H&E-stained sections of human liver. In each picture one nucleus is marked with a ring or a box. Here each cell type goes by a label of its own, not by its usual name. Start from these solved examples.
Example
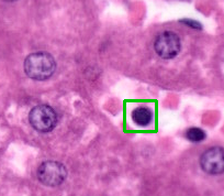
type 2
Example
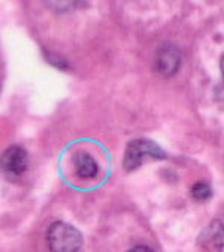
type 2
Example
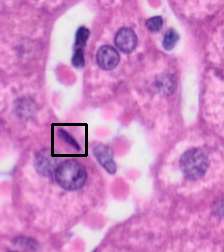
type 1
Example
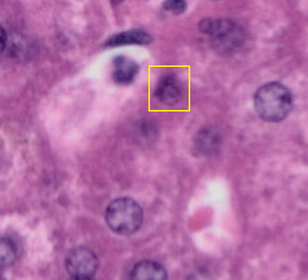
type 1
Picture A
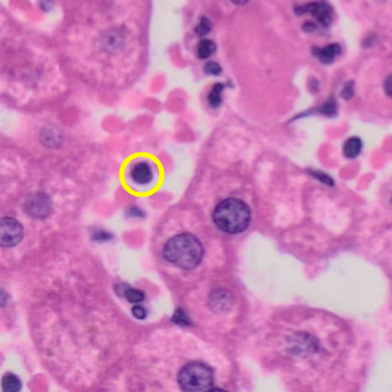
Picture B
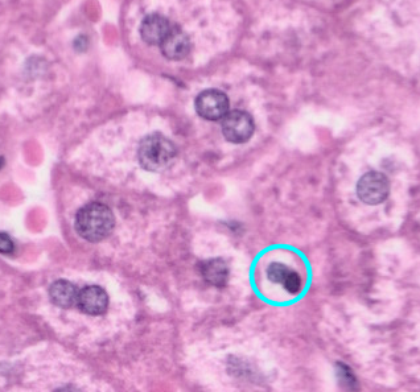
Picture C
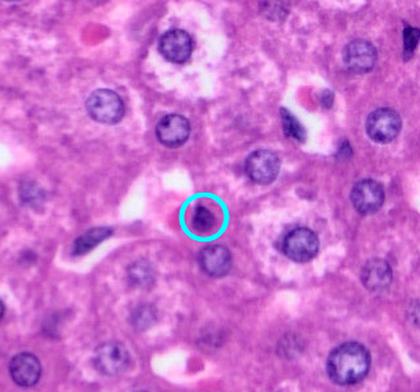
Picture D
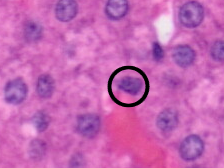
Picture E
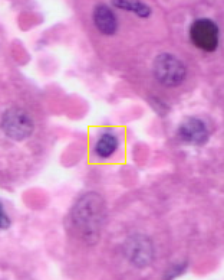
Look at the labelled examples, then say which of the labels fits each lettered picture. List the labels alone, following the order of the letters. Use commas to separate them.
type 2, type 2, type 1, type 1, type 2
